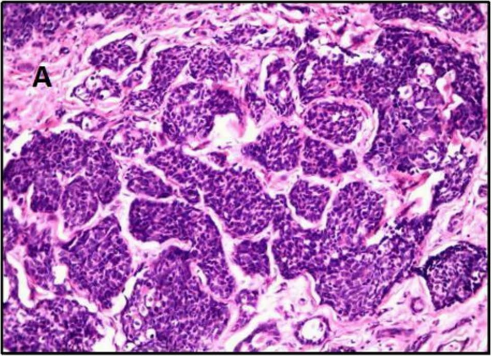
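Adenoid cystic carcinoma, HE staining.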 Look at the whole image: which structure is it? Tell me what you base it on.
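Tumor cells form large solid nests with few or no lumens. Cells are crowded with dark nuclei and scant cytoplasm. Nests are separated by thin pink fibrous stroma. That points to this answer: solid-basaloid pattern.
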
